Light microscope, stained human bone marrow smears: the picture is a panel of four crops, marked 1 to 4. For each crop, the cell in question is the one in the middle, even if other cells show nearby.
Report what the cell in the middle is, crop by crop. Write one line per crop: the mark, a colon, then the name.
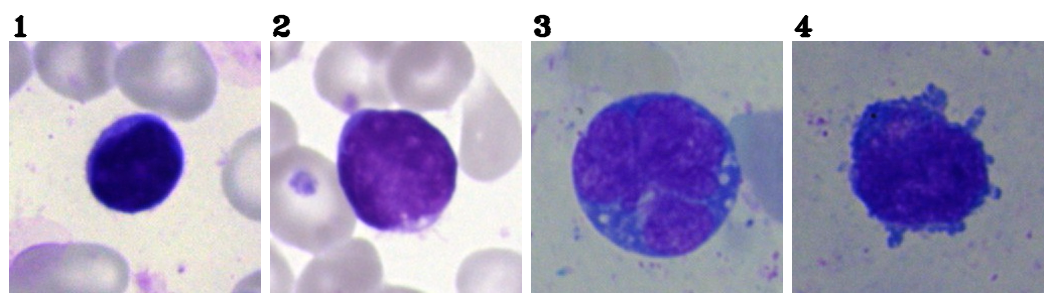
1: lymphocyte
2: blast
3: blast
4: blast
